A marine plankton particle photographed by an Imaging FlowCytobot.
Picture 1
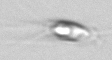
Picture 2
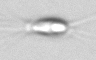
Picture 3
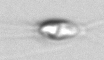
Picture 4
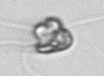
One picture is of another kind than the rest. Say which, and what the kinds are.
Picture 4 shows Pyramimonas; the rest show Chrysochromulina parkeae.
